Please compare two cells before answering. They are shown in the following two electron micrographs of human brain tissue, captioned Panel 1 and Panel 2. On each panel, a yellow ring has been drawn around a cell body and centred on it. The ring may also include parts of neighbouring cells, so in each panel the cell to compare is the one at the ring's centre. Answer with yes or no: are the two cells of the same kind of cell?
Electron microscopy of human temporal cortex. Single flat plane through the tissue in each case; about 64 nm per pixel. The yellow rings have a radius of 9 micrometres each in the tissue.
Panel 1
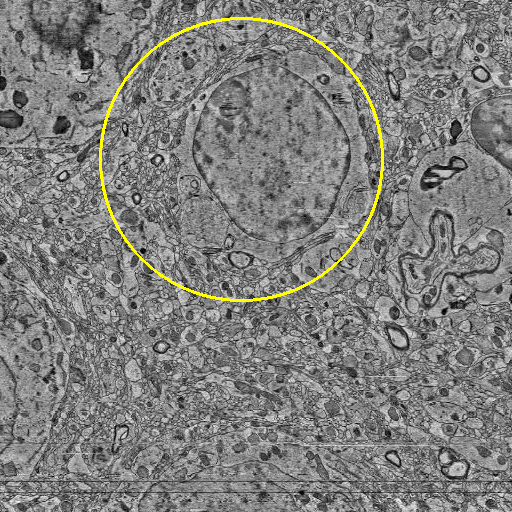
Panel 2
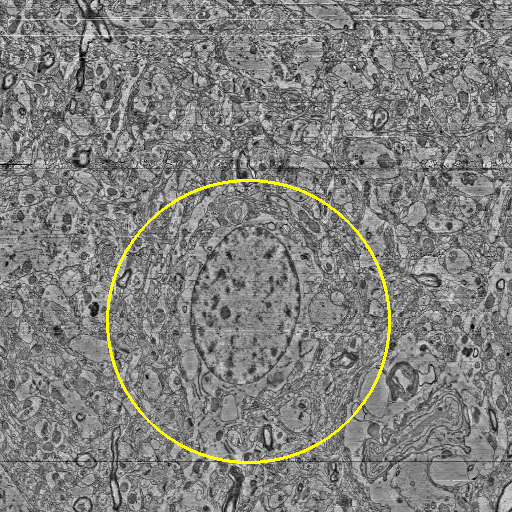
yes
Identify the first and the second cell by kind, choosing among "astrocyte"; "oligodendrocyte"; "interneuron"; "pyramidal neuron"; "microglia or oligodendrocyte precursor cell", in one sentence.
Both the first and the second picture show an astrocyte in the ring.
